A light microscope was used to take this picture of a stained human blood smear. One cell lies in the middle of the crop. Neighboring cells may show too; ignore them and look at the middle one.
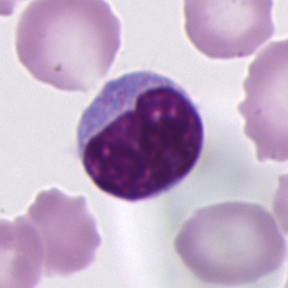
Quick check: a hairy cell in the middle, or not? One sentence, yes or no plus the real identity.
No, the cell located centrally is a typical lymphocyte rather than a hairy cell.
